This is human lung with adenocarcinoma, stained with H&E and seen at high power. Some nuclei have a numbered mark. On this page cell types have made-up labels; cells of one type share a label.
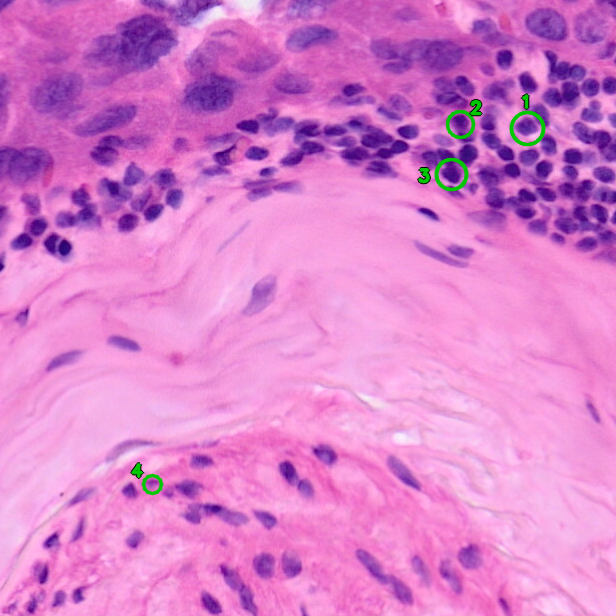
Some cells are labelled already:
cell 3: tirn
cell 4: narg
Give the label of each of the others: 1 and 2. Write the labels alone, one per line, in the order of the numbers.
tirn
tirn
